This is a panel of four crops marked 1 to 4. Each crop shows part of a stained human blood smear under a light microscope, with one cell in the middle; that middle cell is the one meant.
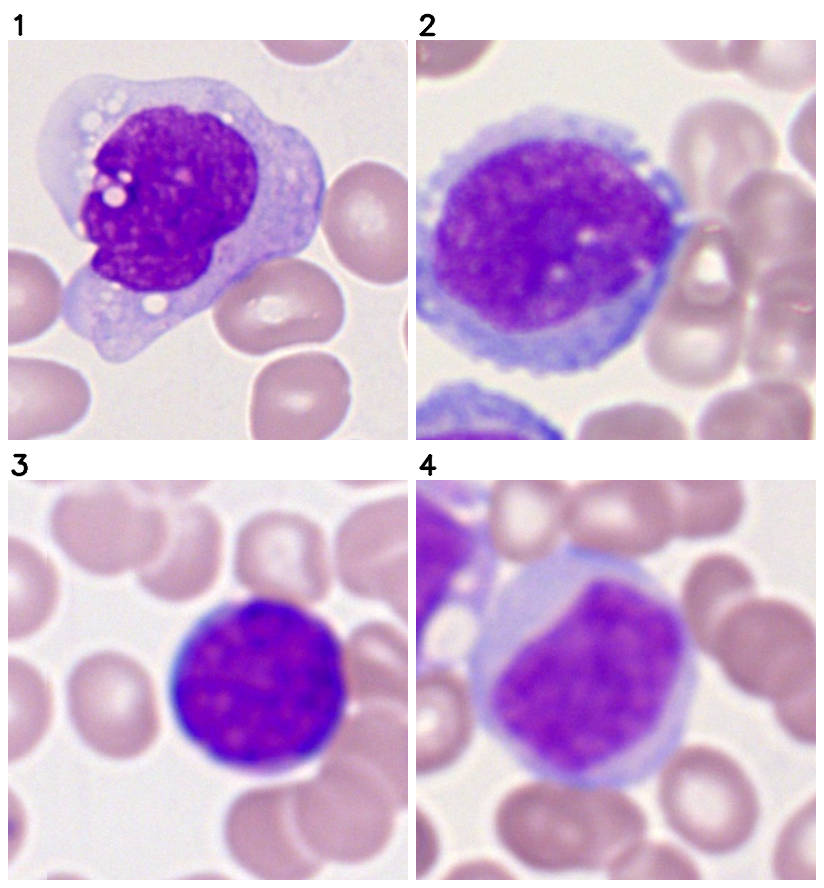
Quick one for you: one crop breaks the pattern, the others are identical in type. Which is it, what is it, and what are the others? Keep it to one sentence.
For this set, crop 3 is a myeloblast, and all the rest are monocytes.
